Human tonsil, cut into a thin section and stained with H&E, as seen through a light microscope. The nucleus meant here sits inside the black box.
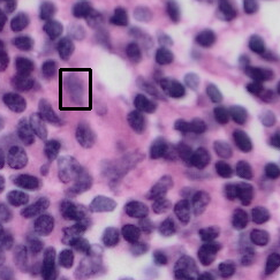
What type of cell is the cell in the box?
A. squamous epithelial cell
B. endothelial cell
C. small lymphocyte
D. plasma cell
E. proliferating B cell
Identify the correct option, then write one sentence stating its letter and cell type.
It is option B that correctly calls the cell in the box an endothelial cell.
